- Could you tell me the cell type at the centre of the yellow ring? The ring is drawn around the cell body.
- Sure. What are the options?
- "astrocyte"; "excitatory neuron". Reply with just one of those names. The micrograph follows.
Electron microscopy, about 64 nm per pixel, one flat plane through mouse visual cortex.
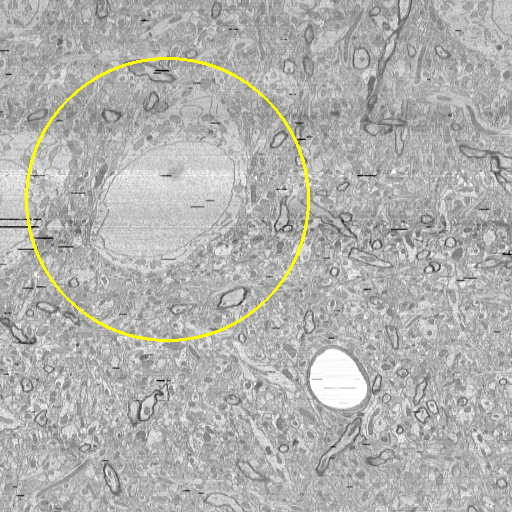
excitatory neuron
